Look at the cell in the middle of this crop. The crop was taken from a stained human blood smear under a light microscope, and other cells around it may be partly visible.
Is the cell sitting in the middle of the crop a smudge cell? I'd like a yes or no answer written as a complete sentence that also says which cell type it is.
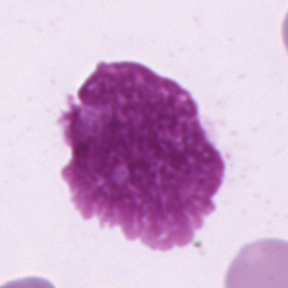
Yes, the cell in the central position is a smudge cell.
